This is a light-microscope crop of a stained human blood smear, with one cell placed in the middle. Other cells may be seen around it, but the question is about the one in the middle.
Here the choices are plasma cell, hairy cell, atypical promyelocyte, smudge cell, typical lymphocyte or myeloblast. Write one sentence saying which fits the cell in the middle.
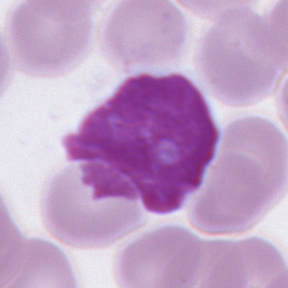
The cell sitting right in the middle is a smudge cell.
